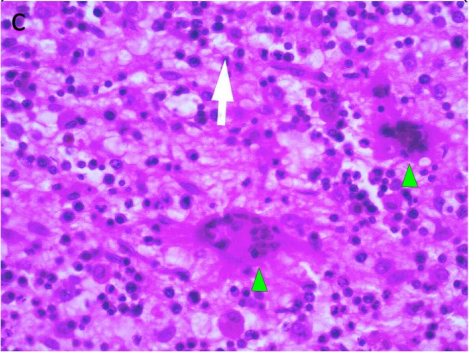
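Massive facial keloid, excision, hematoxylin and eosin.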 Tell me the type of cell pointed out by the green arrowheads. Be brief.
Multinucleate giant cells.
